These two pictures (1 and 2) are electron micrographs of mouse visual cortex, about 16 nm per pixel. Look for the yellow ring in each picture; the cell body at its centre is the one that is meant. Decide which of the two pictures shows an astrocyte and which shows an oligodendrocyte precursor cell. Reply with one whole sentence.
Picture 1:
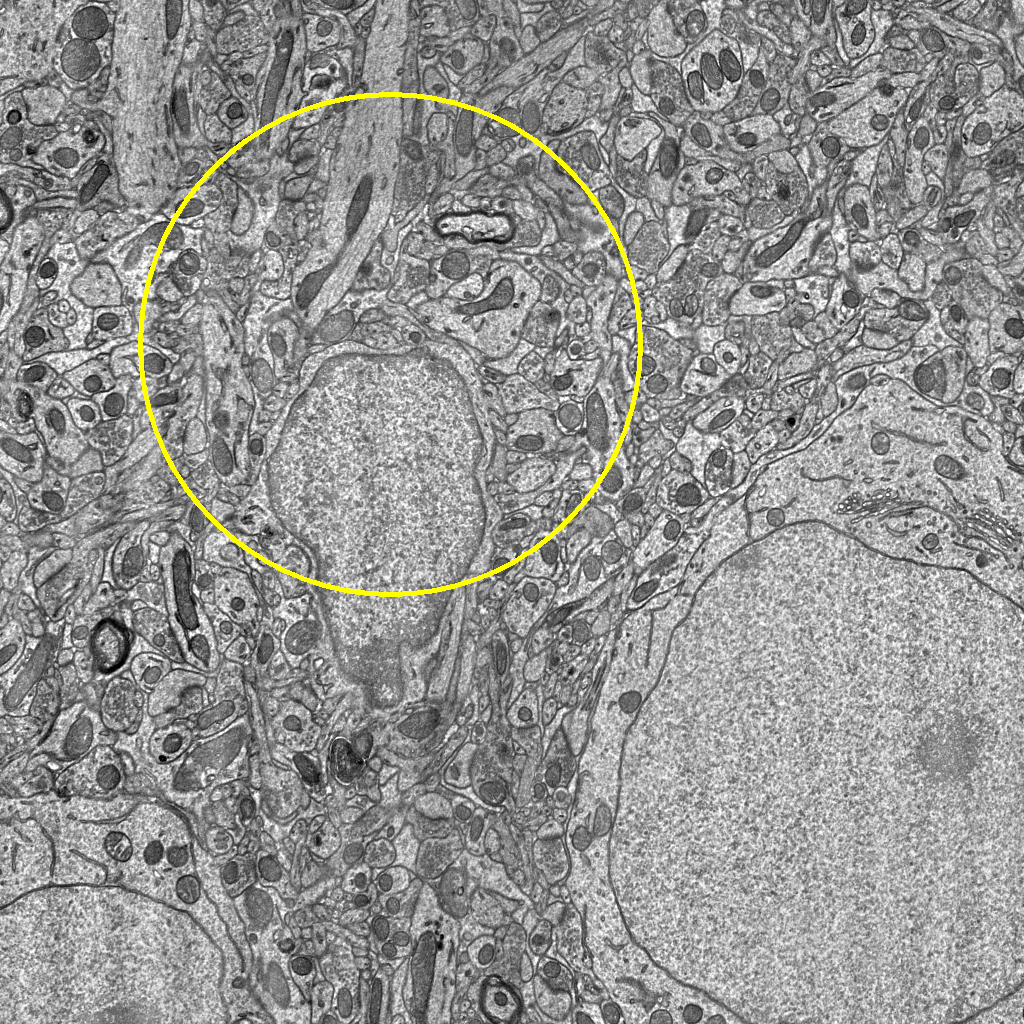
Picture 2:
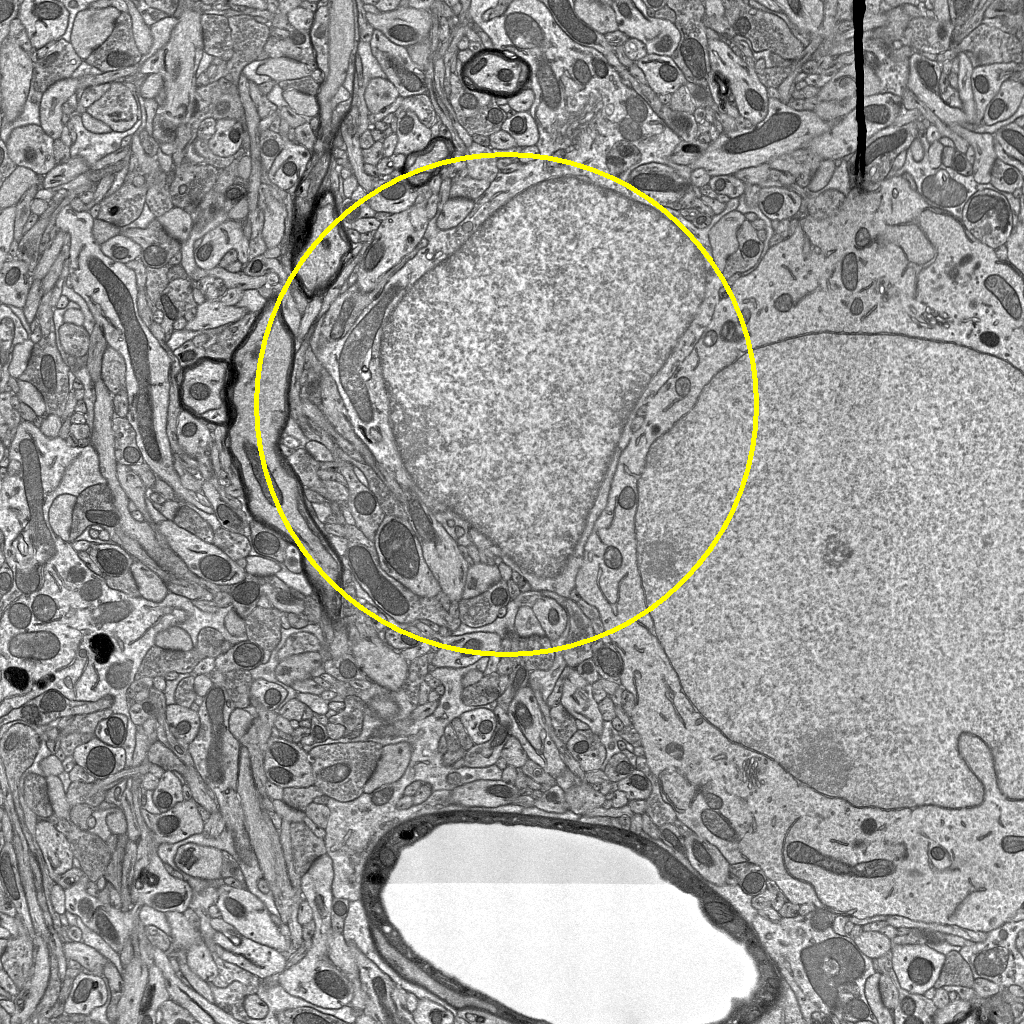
In picture 1 the cell is an oligodendrocyte precursor cell; in picture 2, an astrocyte.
